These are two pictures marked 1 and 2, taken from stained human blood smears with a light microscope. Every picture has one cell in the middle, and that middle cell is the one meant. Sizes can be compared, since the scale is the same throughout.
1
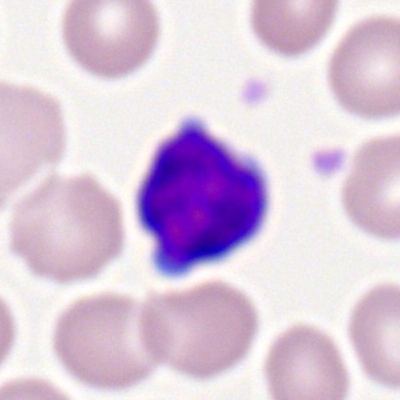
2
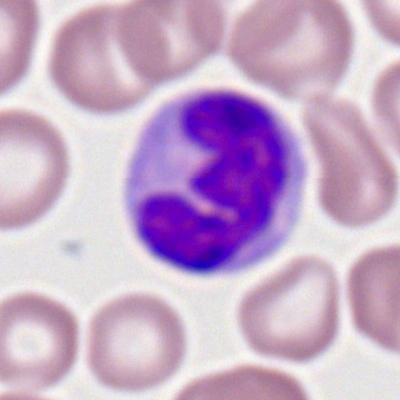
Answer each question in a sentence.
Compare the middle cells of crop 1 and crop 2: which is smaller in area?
The cell in crop 1 is smaller; the one in crop 2 has about 2 times its area.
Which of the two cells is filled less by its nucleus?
The nucleus fills less of the cell in crop 2 than in crop 1.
